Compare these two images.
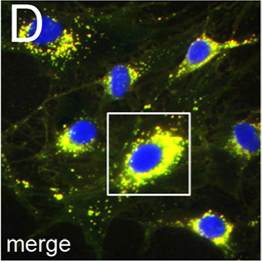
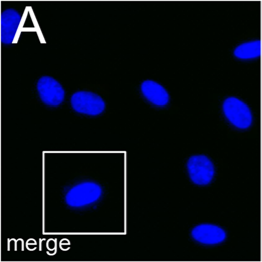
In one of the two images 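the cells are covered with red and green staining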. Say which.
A: The first image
